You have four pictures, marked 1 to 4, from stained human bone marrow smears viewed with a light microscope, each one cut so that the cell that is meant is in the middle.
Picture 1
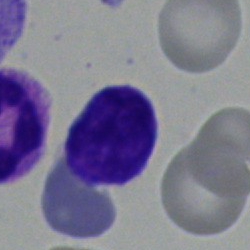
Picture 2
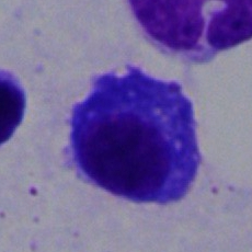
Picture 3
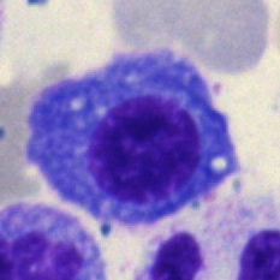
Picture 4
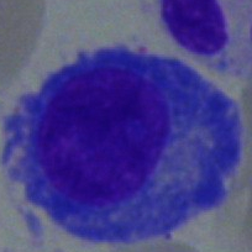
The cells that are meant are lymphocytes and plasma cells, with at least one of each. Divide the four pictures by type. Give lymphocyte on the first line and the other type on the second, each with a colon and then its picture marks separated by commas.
lymphocyte: 1
plasma cell: 2, 3, 4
